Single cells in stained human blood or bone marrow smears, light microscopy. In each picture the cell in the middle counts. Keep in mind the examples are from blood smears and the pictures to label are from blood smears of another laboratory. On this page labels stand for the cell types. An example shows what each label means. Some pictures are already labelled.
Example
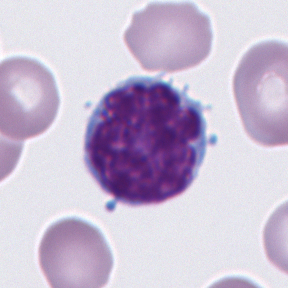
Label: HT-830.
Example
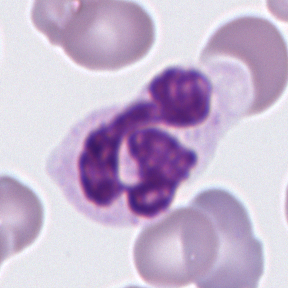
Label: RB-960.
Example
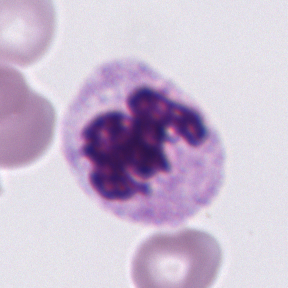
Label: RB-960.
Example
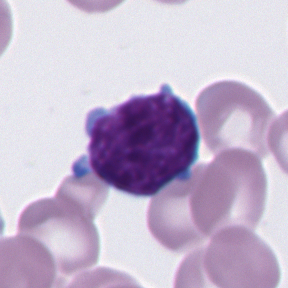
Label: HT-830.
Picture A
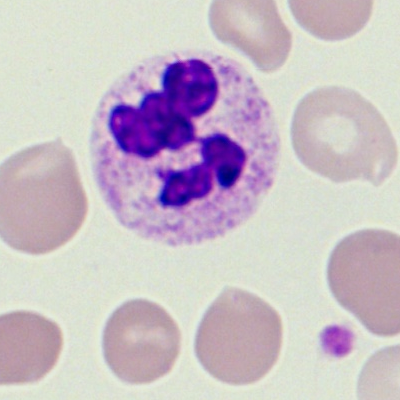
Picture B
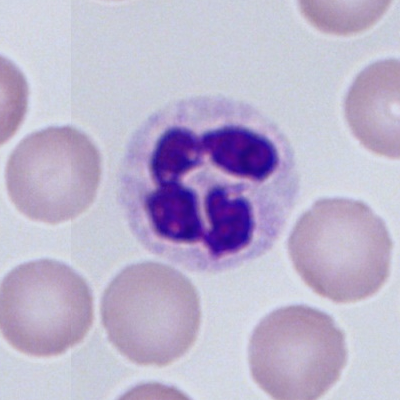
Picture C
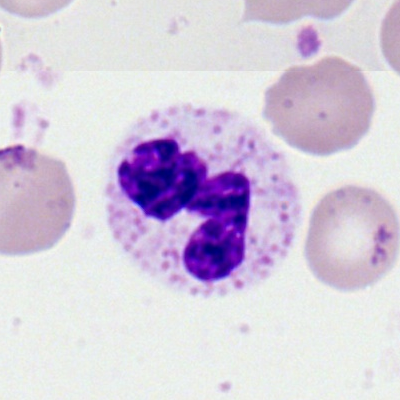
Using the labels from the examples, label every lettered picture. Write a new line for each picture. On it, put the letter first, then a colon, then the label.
A: RB-960.
B: RB-960.
C: RB-960.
